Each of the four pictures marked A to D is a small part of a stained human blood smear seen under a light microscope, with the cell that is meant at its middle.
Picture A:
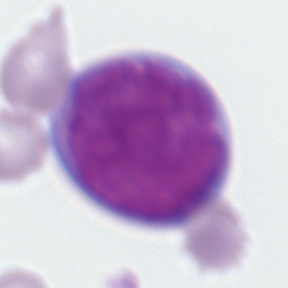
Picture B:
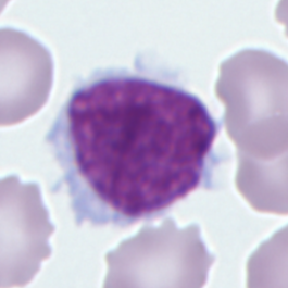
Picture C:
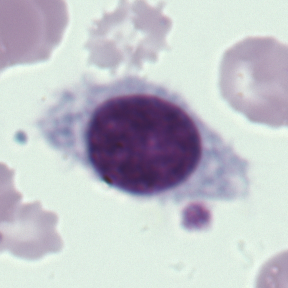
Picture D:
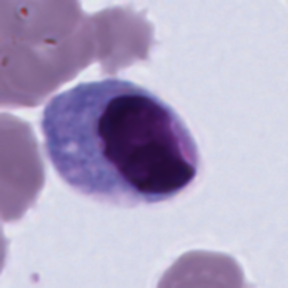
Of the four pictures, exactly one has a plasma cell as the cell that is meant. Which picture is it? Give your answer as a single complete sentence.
The cell in picture D is the plasma cell.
